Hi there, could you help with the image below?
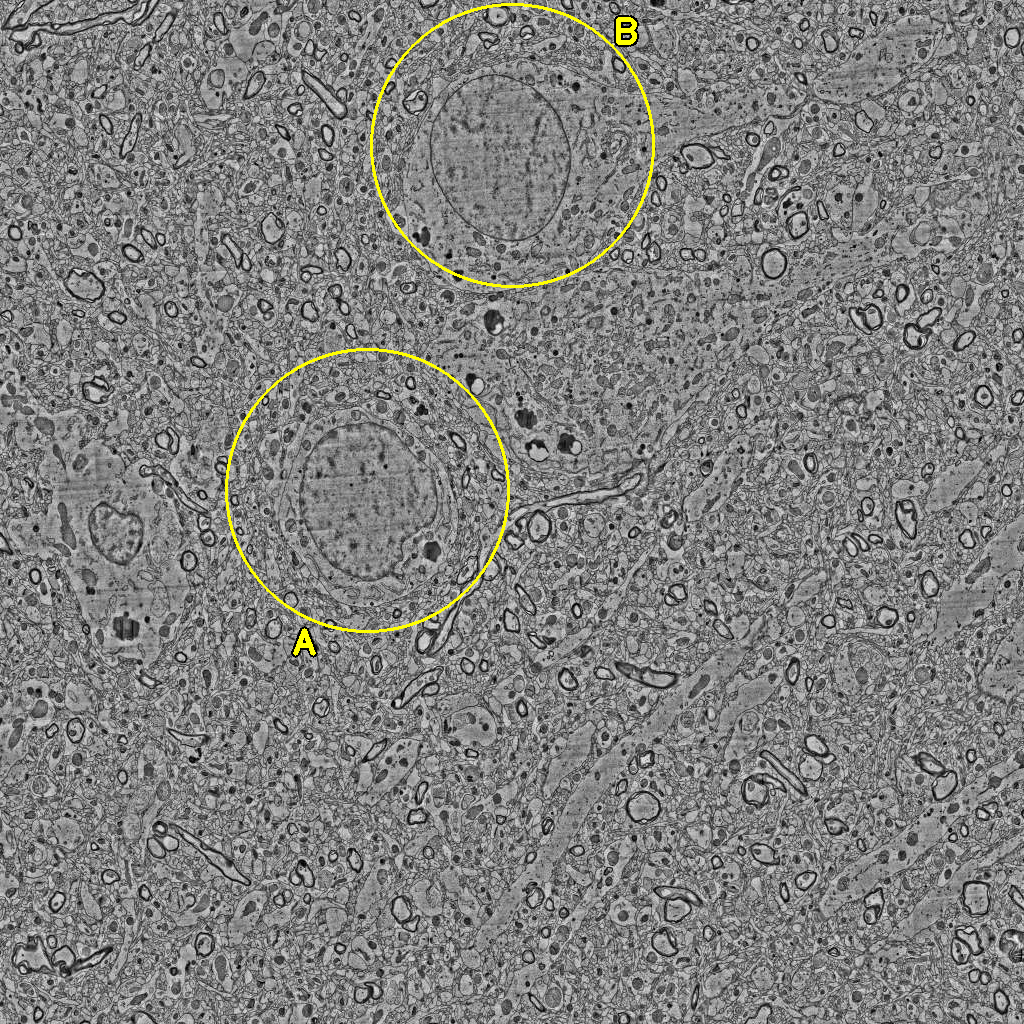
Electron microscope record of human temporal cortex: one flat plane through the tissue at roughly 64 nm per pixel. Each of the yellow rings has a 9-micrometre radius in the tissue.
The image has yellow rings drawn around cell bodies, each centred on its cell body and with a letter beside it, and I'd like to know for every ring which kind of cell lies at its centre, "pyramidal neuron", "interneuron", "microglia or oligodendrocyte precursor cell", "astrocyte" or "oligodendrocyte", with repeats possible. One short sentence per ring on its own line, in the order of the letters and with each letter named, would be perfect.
Ring A is placed around an interneuron.
Ring B is placed around a pyramidal neuron.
